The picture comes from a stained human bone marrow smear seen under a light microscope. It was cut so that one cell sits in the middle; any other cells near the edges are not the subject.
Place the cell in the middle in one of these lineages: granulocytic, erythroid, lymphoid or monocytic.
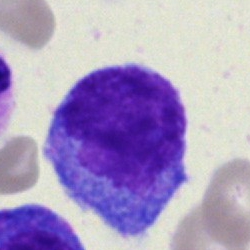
monocytic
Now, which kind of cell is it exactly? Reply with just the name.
monocyte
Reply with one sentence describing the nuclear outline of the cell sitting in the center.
The nucleus is one compact mass, round, oval or kidney-shaped in outline.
